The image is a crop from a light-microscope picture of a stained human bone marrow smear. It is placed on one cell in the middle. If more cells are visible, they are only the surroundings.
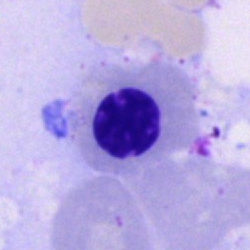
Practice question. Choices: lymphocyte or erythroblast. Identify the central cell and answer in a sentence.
The cell that lies at the centre of the crop is an erythroblast.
